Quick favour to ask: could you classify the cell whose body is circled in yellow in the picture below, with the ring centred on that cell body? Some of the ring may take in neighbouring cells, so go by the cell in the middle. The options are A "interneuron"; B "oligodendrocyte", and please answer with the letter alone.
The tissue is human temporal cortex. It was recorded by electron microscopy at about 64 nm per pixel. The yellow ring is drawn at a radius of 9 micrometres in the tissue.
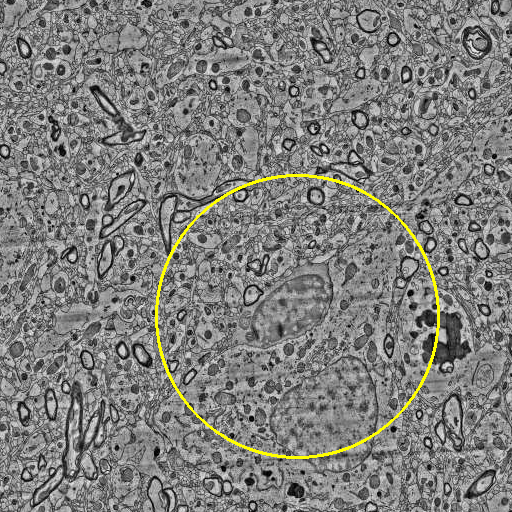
B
